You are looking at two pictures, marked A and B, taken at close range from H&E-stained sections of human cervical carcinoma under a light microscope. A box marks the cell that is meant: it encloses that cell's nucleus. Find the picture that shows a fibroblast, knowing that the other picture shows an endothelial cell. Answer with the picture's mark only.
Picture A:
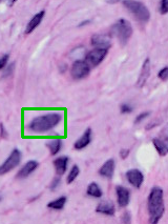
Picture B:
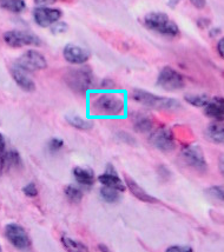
A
